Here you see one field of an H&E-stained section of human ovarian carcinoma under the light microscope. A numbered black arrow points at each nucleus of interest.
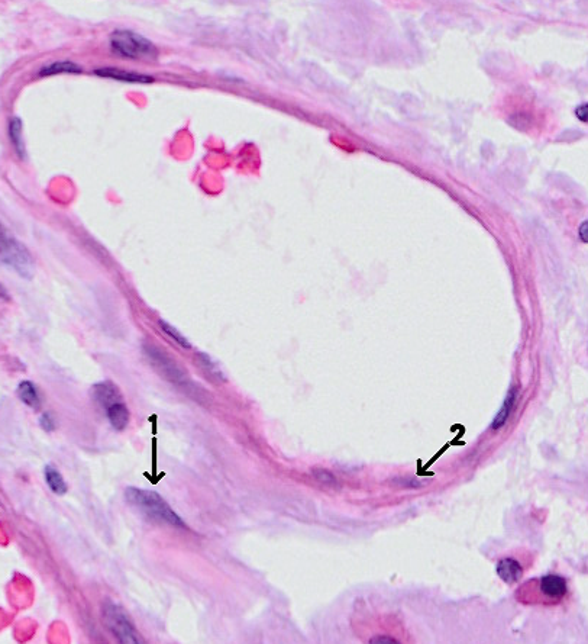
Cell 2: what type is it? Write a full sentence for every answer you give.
The marked cell with the number 2 is recognised as an endothelial cell.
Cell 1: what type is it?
Cell 1 is classified as a fibroblast.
